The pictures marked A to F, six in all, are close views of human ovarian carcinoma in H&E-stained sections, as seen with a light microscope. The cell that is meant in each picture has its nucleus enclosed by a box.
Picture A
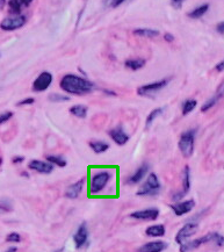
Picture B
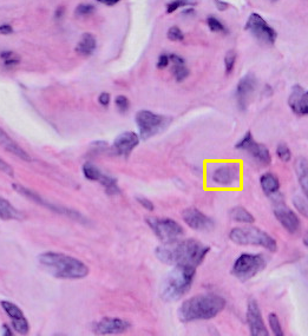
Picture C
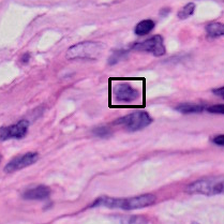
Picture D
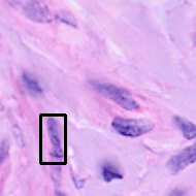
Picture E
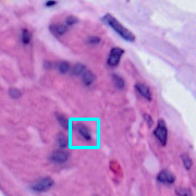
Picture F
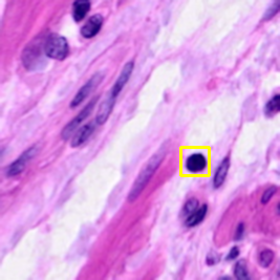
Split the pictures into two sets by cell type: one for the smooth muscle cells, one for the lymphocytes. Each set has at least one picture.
A: smooth muscle cell
B: smooth muscle cell
C: lymphocyte
D: smooth muscle cell
E: smooth muscle cell
F: lymphocyte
